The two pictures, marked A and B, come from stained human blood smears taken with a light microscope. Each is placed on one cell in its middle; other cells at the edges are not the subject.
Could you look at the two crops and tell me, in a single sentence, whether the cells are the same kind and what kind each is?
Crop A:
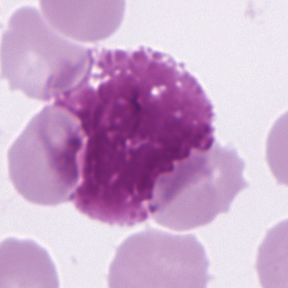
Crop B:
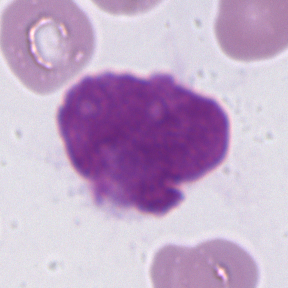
Yes, the two crops show smudge cells, both of them.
